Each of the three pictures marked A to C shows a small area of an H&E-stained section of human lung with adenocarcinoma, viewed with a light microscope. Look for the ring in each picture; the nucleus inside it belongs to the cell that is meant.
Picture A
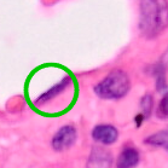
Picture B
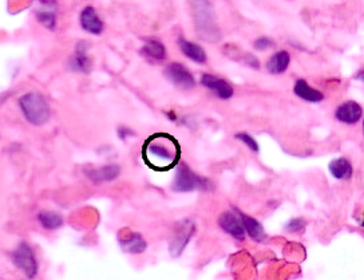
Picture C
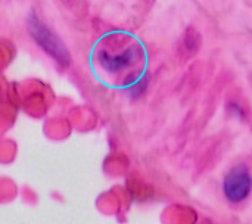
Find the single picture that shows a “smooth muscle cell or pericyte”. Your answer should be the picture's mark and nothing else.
C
